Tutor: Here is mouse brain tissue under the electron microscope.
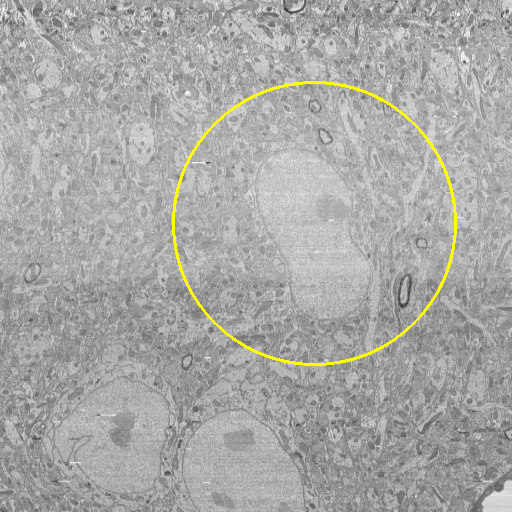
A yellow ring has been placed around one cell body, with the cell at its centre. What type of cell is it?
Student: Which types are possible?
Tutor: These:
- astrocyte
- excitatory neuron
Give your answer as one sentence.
What the ring picks out here is an astrocyte.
